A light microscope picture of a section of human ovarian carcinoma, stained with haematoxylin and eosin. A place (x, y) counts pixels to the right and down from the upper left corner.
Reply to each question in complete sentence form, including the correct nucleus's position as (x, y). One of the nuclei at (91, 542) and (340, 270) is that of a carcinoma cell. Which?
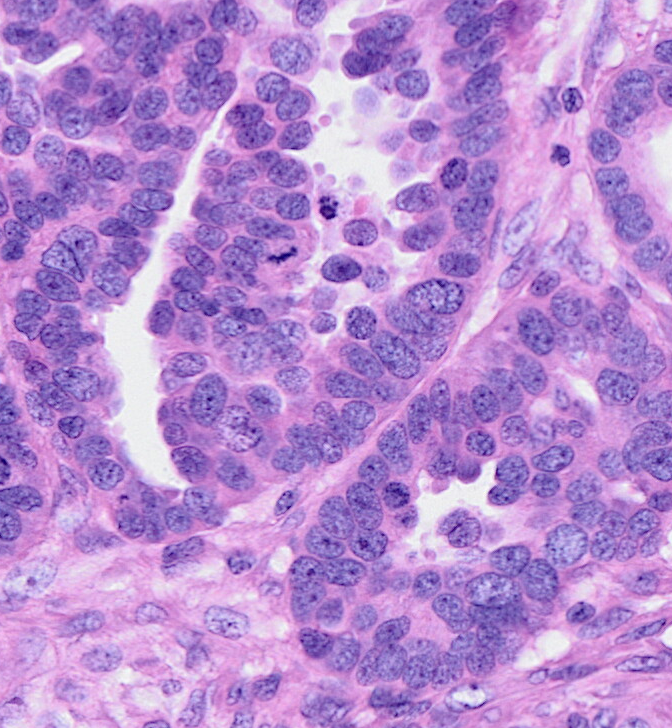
The nucleus of a carcinoma cell is the one at (340, 270).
